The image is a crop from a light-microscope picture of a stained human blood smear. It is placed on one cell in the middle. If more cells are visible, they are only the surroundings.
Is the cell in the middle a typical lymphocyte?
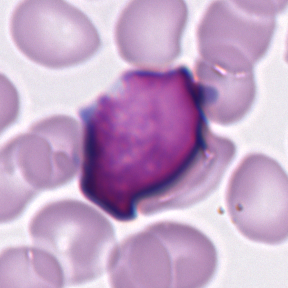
yes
